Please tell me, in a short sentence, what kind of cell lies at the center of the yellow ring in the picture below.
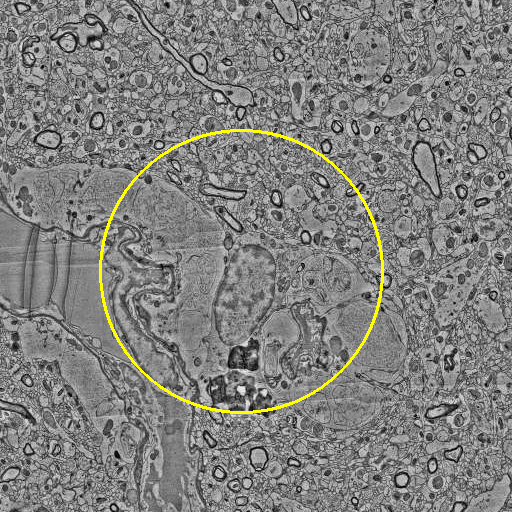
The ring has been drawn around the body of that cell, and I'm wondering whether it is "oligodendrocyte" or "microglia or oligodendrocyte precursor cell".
The cell at the center of the ring is an oligodendrocyte.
